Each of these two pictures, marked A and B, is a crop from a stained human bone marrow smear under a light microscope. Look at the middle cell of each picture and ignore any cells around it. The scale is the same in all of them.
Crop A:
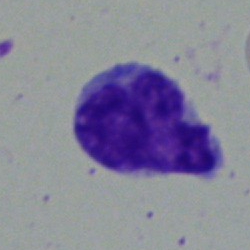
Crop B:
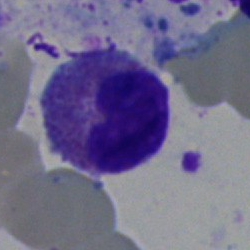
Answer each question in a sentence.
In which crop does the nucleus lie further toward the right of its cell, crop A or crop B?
It is the nucleus in crop B that lies further toward the right of its cell.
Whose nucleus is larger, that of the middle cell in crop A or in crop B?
It is the nucleus in crop A, about 1.5 times as large in area as the one in crop B.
